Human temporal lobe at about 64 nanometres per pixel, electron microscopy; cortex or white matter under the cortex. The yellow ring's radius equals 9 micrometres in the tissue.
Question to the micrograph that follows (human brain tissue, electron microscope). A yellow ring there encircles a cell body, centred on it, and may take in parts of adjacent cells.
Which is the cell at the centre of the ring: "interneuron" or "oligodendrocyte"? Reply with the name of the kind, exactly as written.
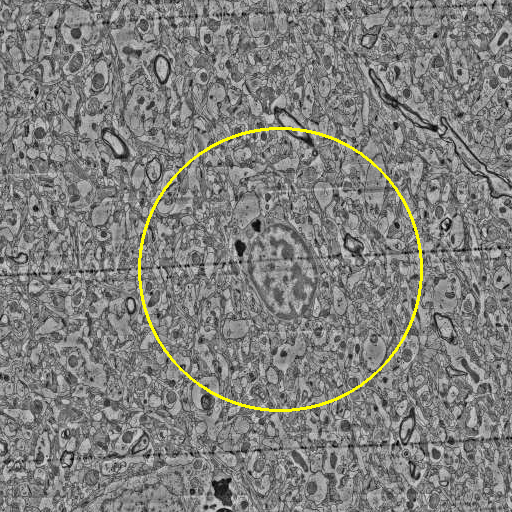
oligodendrocyte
